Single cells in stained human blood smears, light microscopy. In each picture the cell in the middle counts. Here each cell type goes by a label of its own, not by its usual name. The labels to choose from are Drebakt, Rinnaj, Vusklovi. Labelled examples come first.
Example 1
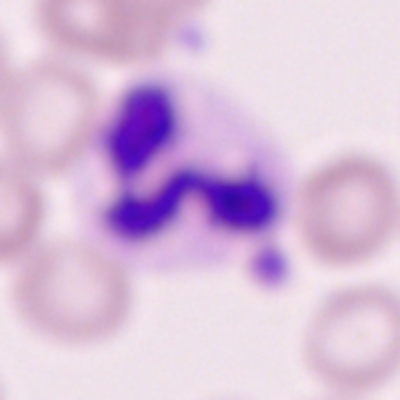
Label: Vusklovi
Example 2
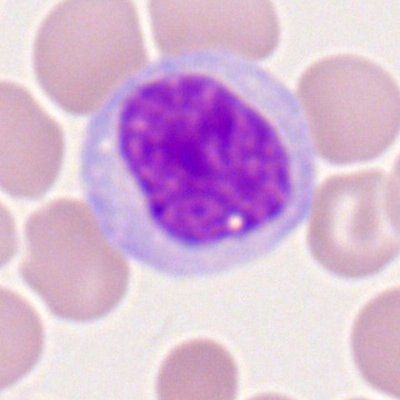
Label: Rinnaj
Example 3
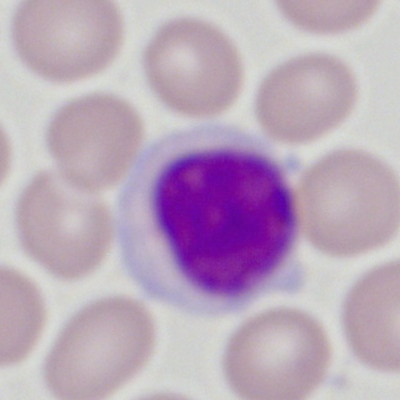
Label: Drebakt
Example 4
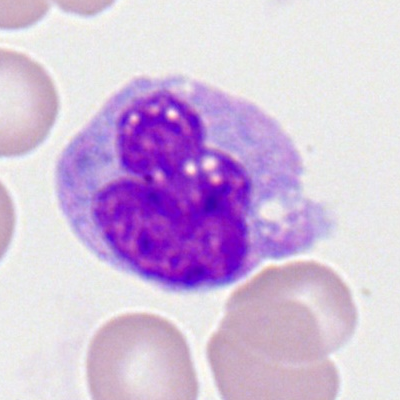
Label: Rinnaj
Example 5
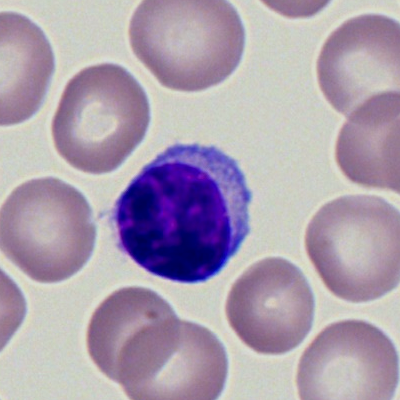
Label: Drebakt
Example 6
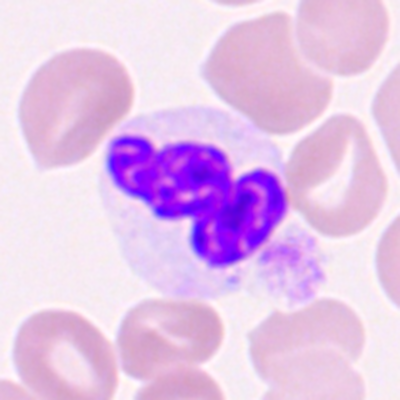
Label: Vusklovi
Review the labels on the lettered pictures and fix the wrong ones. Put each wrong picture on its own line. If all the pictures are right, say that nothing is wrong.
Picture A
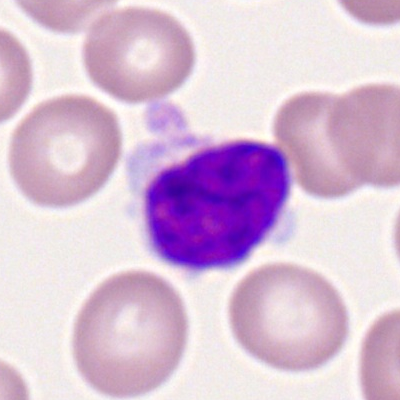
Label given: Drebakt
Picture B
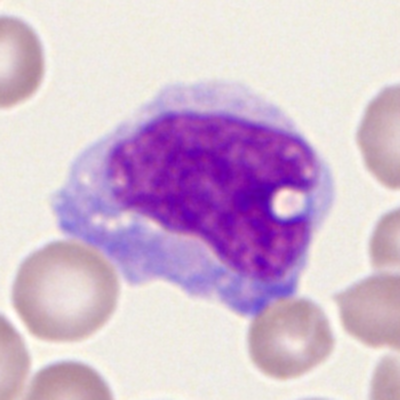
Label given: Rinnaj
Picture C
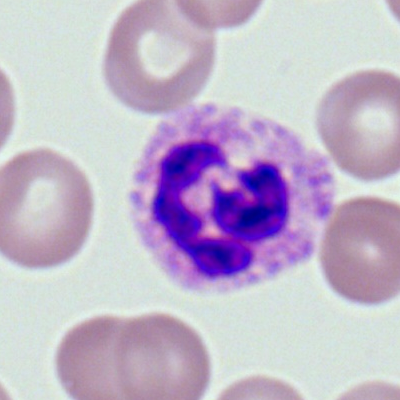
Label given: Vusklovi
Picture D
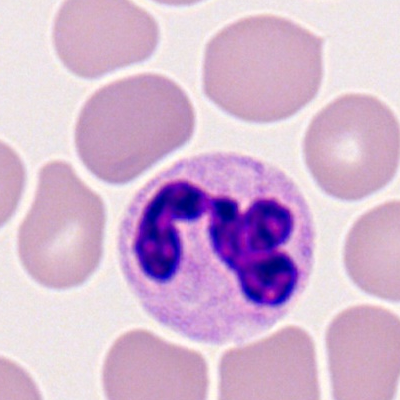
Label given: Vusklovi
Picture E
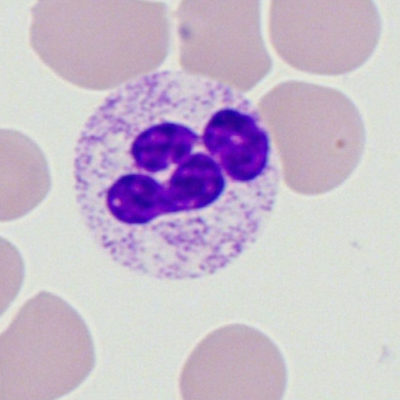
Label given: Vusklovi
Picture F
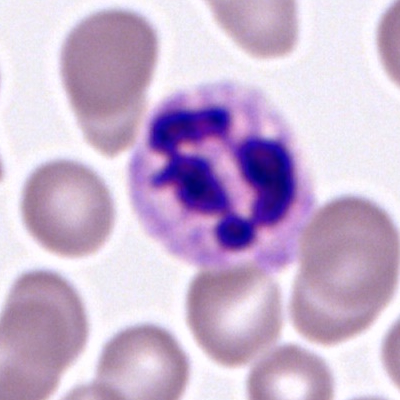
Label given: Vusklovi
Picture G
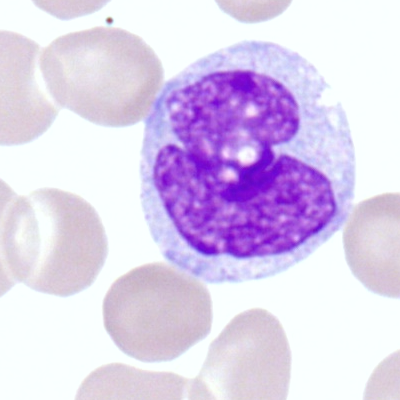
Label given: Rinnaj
Every label is right.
